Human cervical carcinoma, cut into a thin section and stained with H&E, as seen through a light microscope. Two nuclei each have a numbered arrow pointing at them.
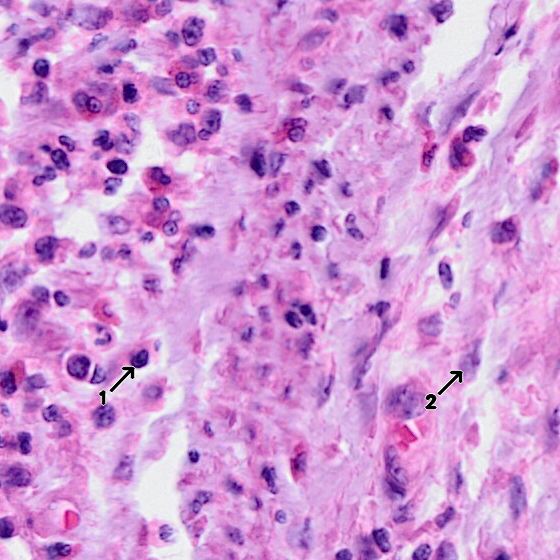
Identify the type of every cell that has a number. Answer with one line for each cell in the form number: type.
1: lymphocyte
2: fibroblast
